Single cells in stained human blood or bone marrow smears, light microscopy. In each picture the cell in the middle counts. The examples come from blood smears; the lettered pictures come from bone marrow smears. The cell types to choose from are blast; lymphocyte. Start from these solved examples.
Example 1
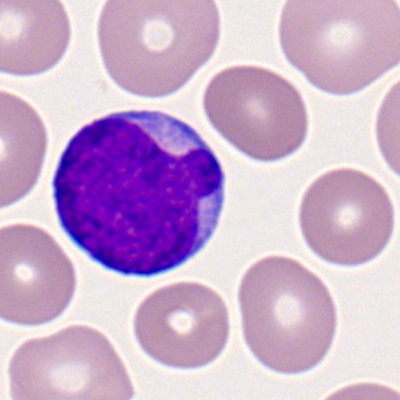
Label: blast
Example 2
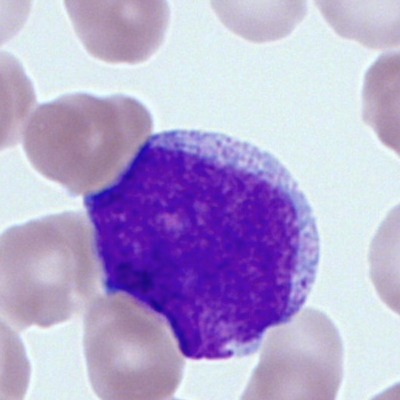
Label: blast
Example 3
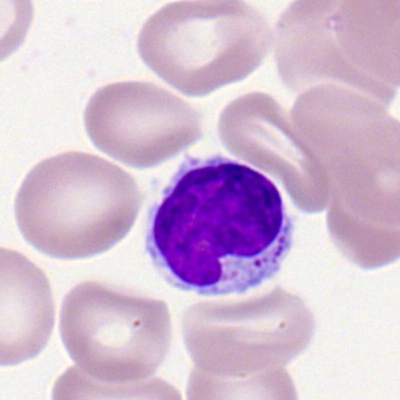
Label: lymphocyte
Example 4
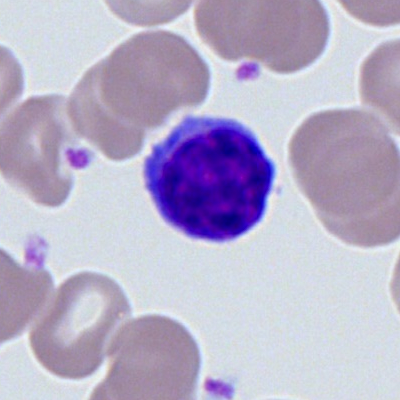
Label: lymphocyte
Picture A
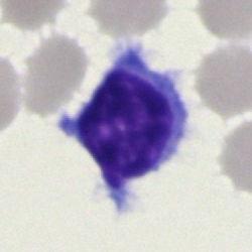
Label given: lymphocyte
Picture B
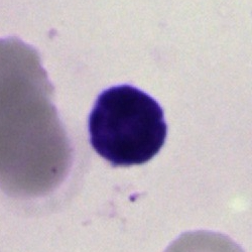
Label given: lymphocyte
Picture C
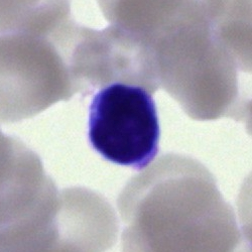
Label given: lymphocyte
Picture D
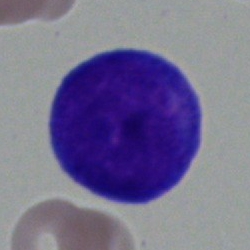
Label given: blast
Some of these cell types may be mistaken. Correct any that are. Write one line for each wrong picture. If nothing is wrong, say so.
None of the labels needs changing.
